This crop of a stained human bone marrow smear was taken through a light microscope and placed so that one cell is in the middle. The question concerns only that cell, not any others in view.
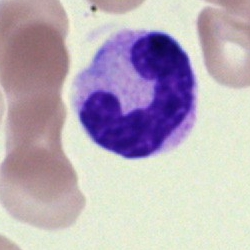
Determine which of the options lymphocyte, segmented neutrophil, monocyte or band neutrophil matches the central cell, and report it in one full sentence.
In this smear crop, the middle cell is a band neutrophil.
